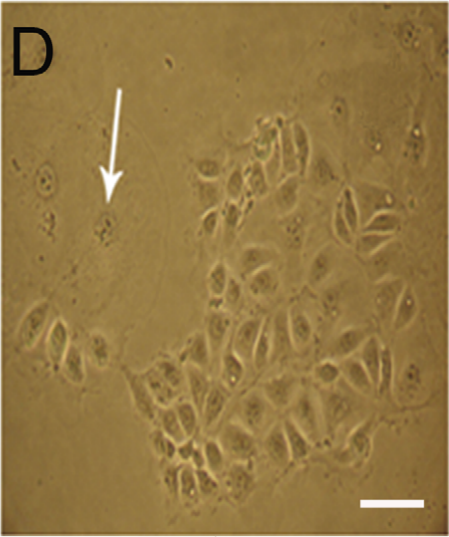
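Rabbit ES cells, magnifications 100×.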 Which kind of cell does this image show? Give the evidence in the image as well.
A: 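Giant cells. A very large, flat, thin cell with a faint outline lies at the left beside a colony of smaller cells. It is many times the size of the neighbouring cells.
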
